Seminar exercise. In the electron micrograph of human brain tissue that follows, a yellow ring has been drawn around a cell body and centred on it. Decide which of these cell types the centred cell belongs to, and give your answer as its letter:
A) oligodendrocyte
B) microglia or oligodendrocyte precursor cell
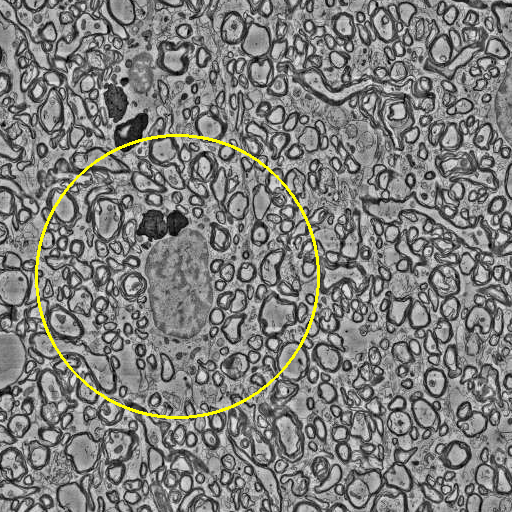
A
